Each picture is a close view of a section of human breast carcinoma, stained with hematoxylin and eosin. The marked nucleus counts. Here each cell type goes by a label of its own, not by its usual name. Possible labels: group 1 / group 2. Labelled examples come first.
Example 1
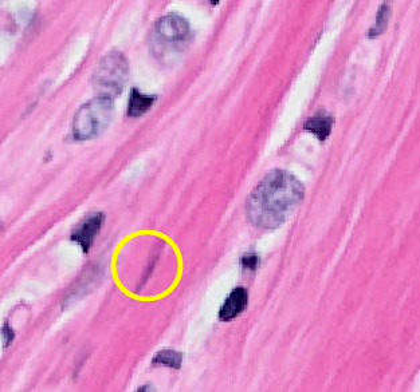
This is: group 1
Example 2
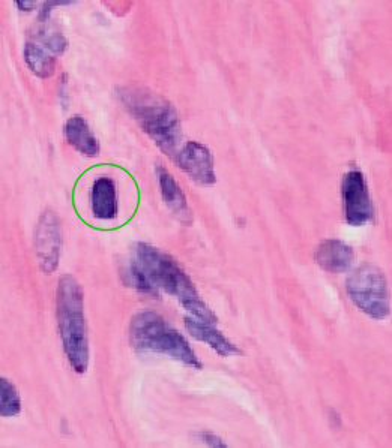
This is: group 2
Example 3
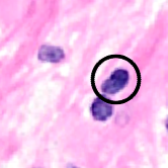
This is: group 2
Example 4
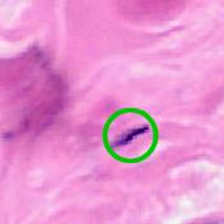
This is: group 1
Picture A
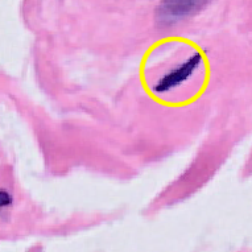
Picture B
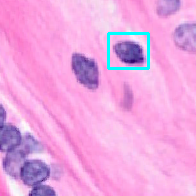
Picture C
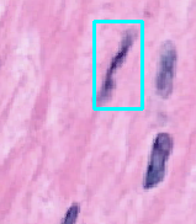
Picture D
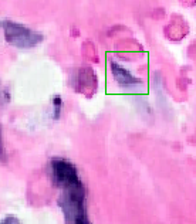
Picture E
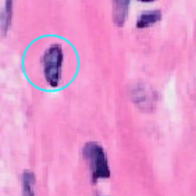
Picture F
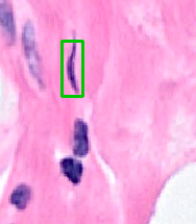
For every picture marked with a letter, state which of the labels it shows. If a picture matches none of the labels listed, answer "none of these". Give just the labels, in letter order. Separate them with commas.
group 1, group 2, group 1, none of these, group 2, group 1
